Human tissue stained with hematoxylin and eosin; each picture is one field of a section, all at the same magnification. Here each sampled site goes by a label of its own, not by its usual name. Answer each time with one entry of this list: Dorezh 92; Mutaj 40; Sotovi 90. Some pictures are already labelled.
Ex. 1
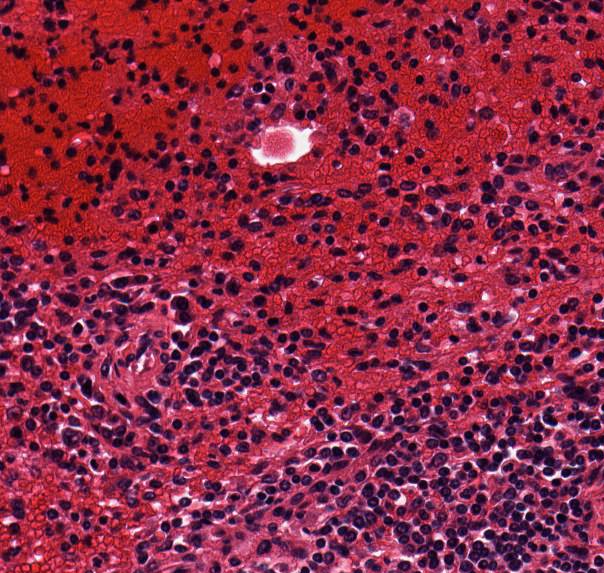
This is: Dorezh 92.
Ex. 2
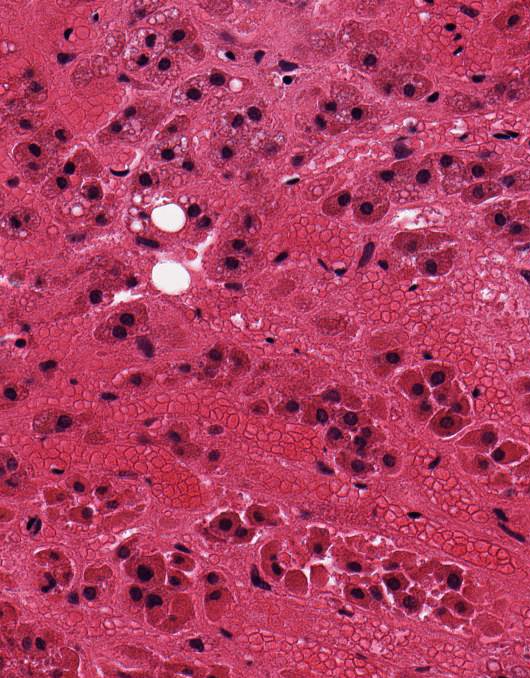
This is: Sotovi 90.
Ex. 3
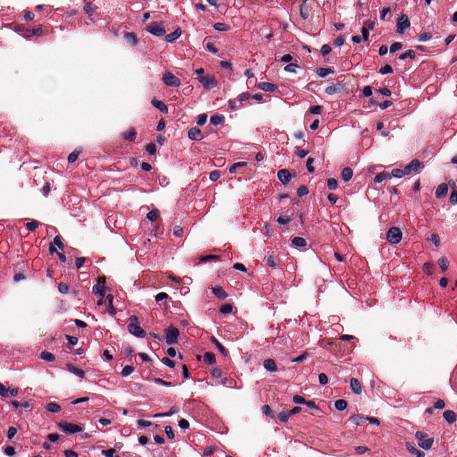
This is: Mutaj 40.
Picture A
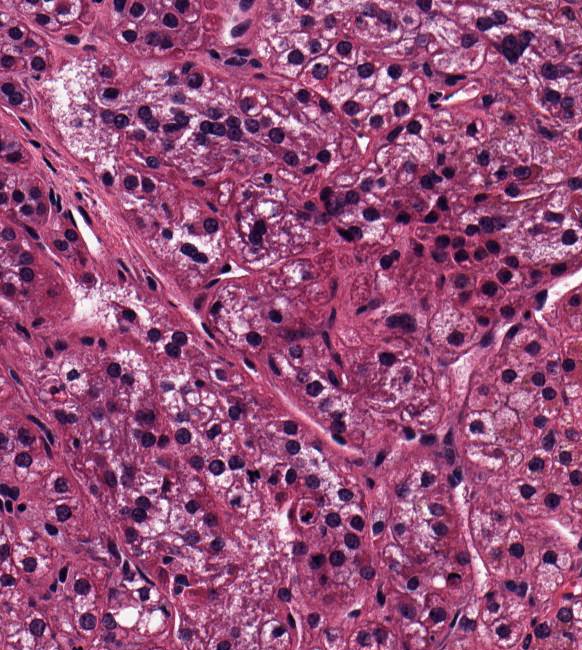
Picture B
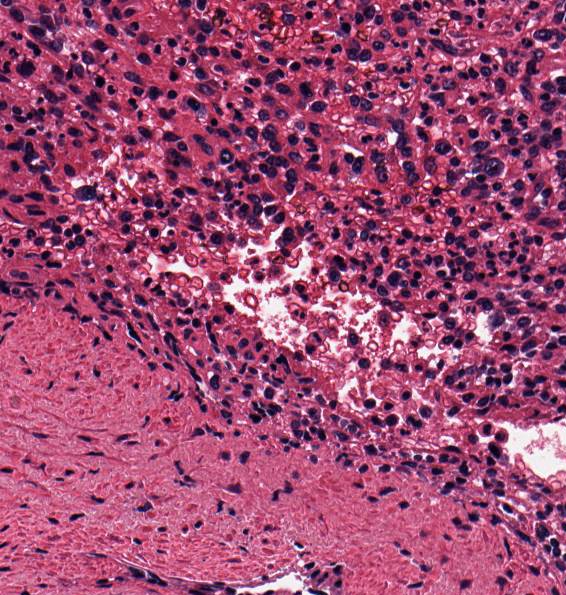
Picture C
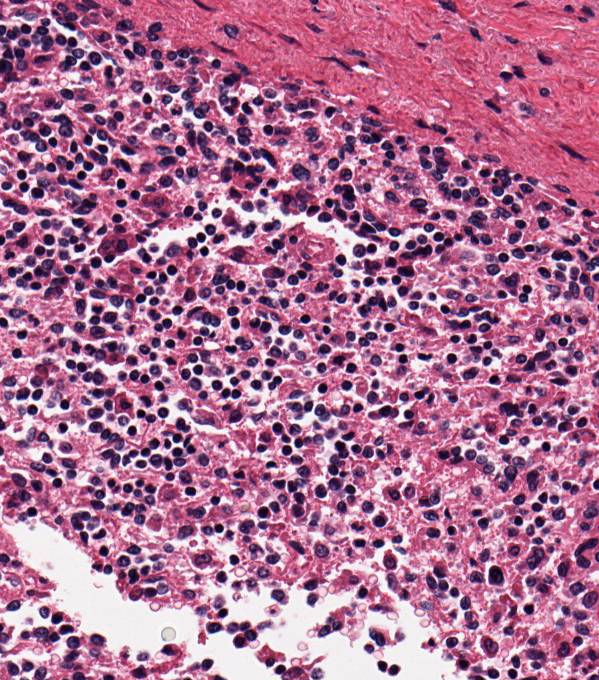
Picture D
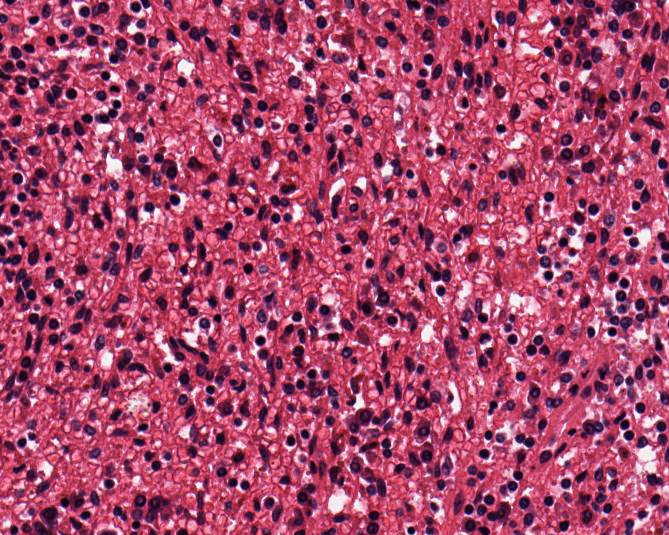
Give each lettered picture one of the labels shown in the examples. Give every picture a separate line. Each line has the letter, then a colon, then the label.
A: Sotovi 90.
B: Dorezh 92.
C: Dorezh 92.
D: Dorezh 92.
